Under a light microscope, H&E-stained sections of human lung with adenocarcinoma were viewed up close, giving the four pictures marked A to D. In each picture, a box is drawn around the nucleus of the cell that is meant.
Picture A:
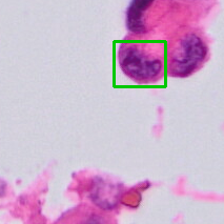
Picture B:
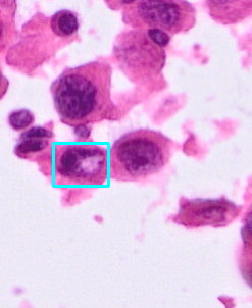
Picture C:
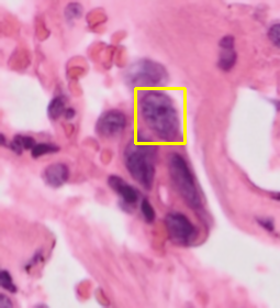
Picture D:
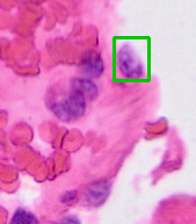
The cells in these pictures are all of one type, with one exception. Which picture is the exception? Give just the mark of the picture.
D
